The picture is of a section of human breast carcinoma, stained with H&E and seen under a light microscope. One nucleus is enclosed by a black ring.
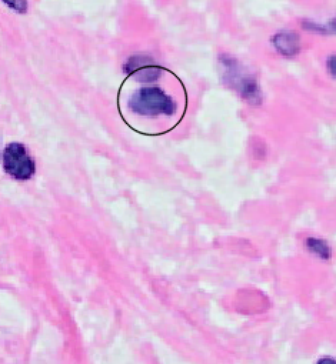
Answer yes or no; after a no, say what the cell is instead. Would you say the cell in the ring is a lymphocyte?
Yes.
